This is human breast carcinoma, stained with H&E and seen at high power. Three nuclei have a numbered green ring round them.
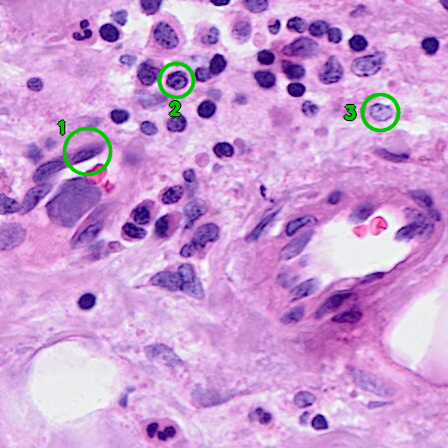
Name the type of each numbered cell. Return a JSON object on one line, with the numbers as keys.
{"1": "endothelial cell", "2": "lymphocyte", "3": "macrophage, monocyte or dendritic cell"}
